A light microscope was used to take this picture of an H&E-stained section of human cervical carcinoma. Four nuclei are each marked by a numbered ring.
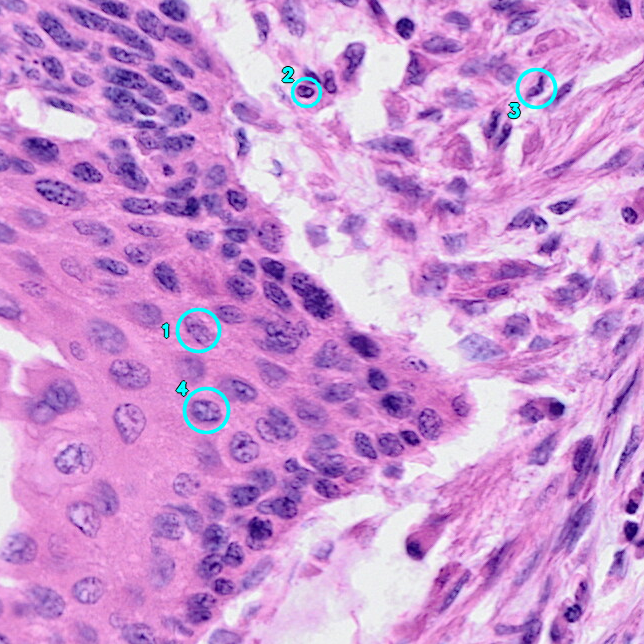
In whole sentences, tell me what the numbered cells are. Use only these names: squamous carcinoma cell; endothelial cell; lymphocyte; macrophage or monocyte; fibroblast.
Cells 1 and 4 are squamous carcinoma cells. Cell 2 is a lymphocyte. Cell 3 is a fibroblast.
